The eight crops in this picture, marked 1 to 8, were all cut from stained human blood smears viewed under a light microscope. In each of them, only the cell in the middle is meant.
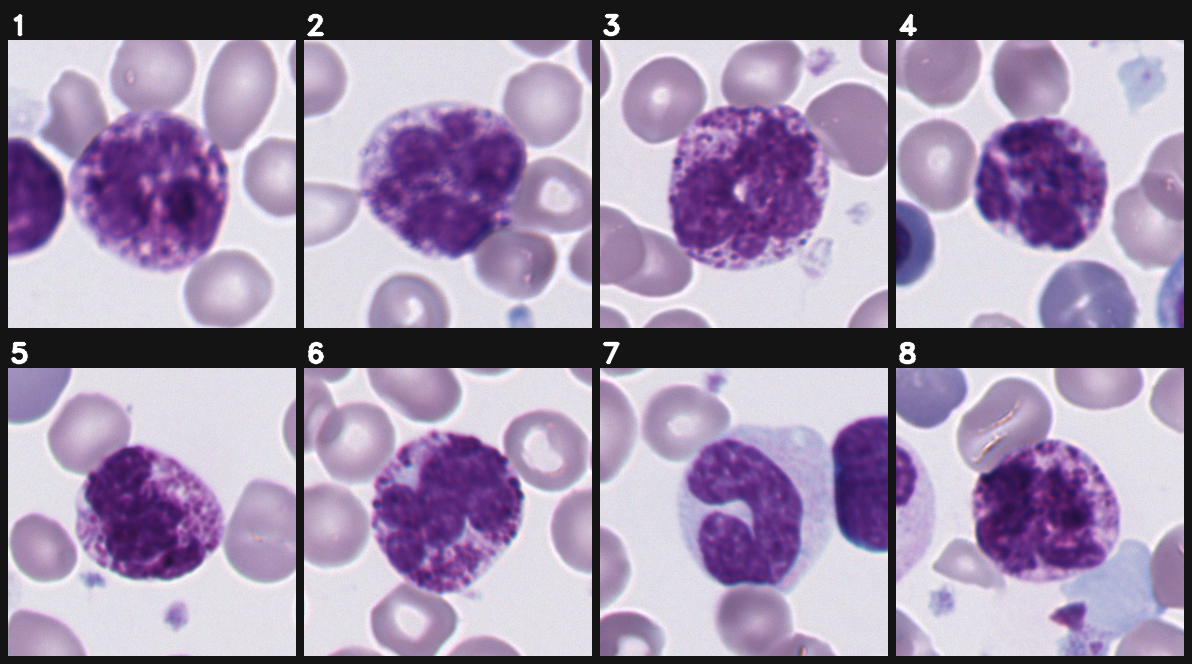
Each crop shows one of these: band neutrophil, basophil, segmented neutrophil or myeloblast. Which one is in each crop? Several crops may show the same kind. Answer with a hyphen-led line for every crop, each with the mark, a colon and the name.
- 1: basophil
- 2: basophil
- 3: basophil
- 4: basophil
- 5: basophil
- 6: basophil
- 7: band neutrophil
- 8: basophil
